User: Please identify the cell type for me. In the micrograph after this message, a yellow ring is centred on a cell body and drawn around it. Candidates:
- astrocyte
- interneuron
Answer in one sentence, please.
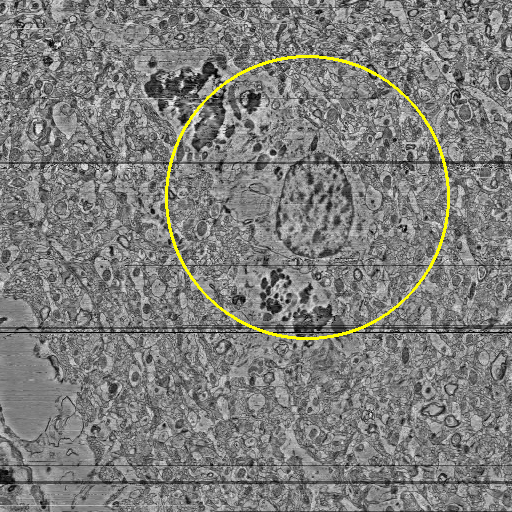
The ring is drawn around the cell body of an astrocyte.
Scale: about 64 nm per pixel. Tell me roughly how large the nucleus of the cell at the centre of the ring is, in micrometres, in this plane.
About 7 by 5 micrometers for the nucleus, in this plane.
